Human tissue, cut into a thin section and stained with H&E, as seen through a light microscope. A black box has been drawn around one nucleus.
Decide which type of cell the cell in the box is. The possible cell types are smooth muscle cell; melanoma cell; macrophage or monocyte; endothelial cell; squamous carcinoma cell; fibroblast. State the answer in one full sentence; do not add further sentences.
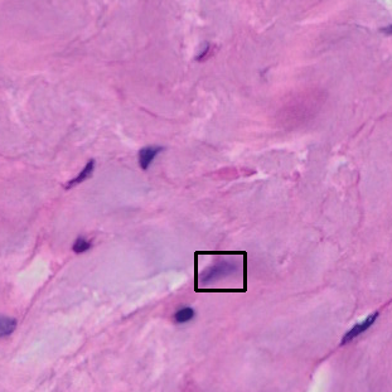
Students should answer that the cell in the box is a fibroblast.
